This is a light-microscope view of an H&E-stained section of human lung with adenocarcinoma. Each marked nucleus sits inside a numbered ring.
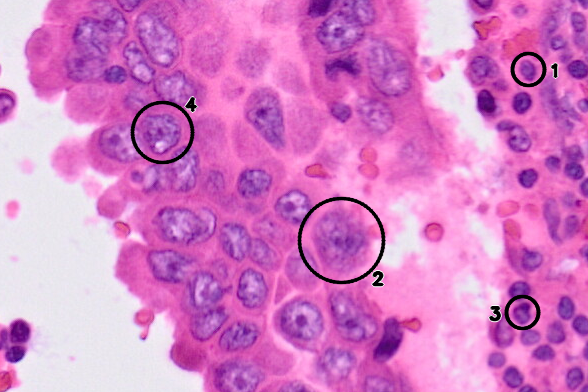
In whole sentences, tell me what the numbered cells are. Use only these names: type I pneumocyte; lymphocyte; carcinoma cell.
Cell 1 is a lymphocyte, cell 2 is a carcinoma cell, cell 3 is a lymphocyte and cell 4 is a carcinoma cell.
